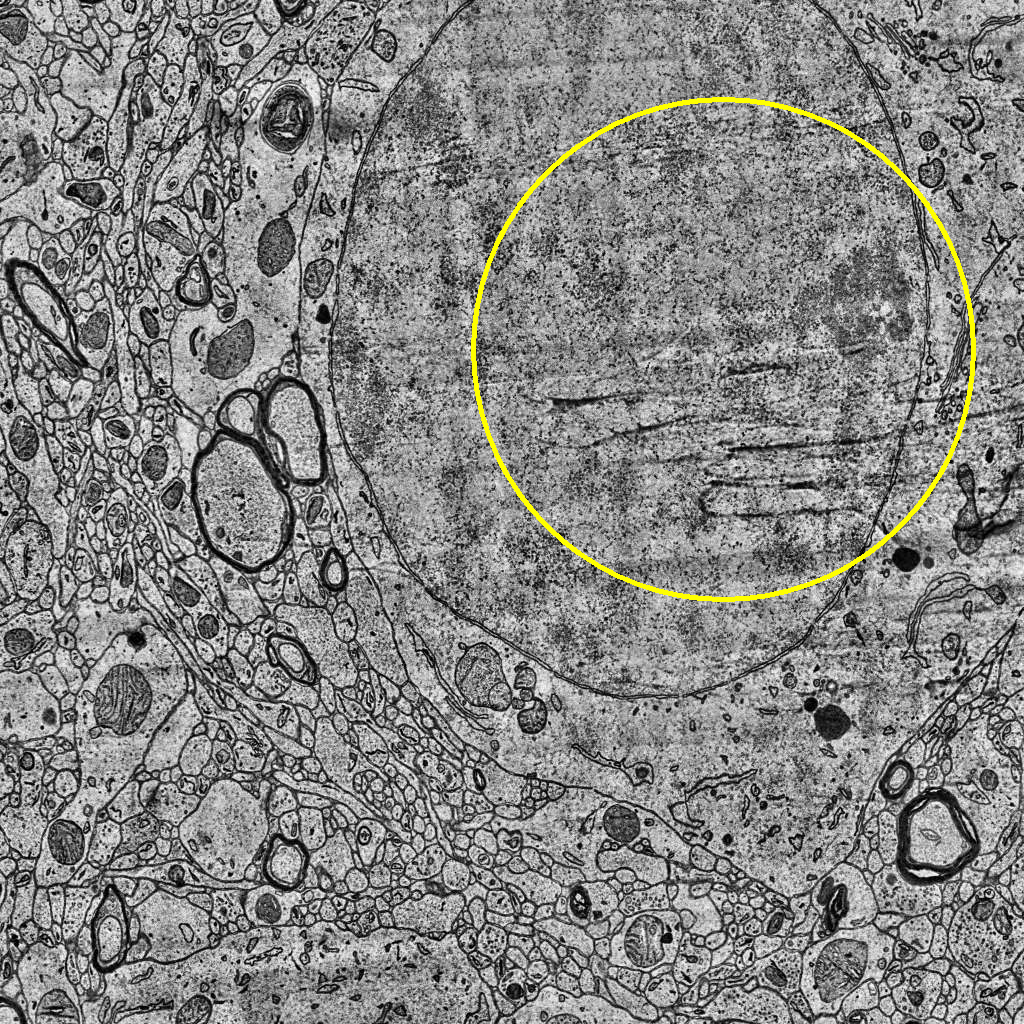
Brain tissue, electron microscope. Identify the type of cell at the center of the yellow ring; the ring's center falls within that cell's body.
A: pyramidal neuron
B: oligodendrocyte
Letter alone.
A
